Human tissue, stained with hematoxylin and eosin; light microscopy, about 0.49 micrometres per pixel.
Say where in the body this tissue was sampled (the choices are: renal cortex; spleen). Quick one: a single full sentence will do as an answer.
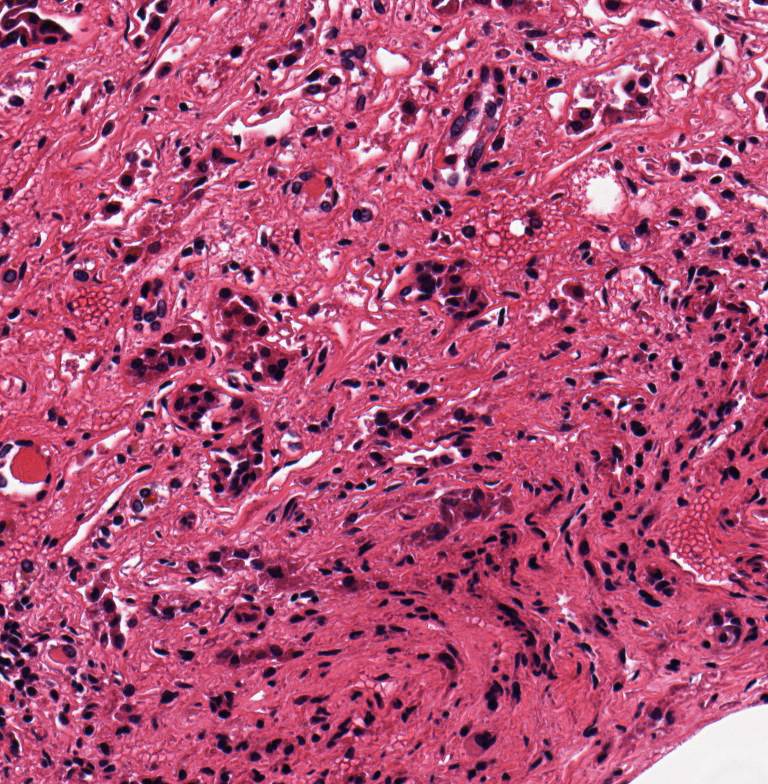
This histological section comes from the renal cortex.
